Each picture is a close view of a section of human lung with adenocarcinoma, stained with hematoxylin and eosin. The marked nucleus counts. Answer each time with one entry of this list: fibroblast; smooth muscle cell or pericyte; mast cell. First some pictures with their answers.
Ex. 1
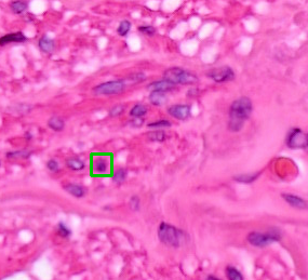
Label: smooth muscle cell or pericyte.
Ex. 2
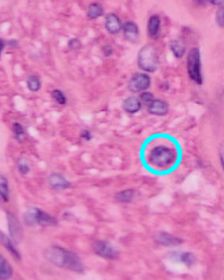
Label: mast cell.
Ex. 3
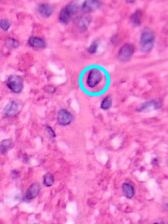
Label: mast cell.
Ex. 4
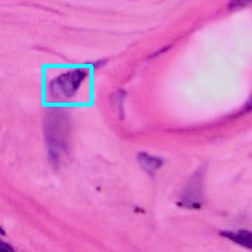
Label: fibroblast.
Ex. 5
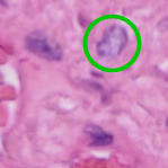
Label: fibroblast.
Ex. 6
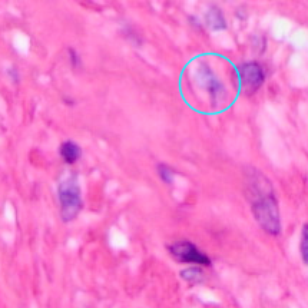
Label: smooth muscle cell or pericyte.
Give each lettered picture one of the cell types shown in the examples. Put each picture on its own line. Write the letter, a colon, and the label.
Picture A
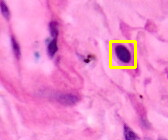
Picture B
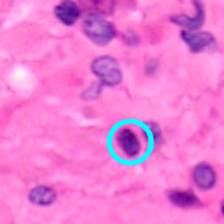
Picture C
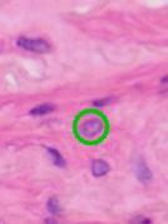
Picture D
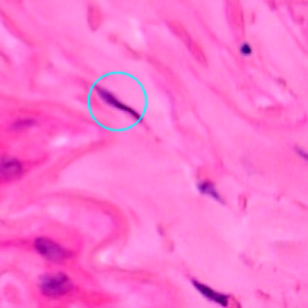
A: mast cell.
B: mast cell.
C: smooth muscle cell or pericyte.
D: fibroblast.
